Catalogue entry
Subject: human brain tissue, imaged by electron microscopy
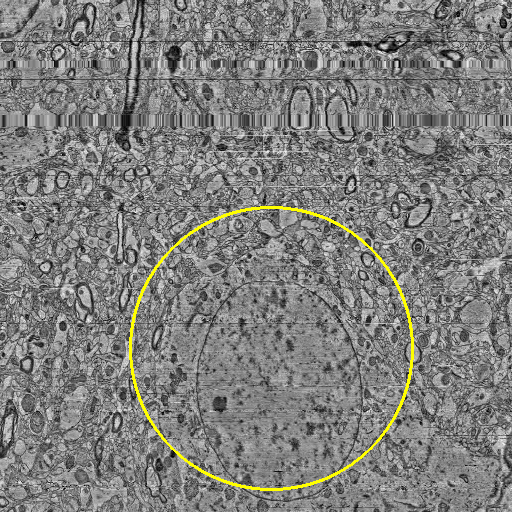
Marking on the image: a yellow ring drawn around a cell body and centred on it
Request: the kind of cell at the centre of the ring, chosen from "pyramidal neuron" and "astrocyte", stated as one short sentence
The ring has a pyramidal neuron at its centre.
